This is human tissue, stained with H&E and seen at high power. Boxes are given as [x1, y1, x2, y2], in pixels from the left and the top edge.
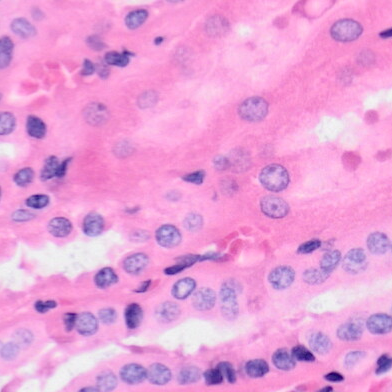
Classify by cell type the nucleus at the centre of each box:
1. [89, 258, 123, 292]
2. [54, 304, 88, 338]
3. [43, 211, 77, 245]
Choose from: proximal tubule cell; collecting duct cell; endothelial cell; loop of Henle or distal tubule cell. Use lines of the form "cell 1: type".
cell 1: loop of Henle or distal tubule cell
cell 2: collecting duct cell
cell 3: loop of Henle or distal tubule cell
